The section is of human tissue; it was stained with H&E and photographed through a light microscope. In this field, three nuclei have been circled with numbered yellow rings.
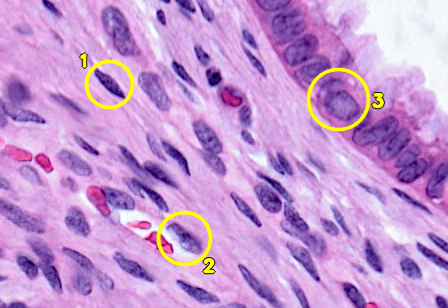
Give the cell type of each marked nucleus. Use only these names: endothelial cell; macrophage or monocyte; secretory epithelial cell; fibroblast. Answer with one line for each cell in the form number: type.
1: fibroblast
2: endothelial cell
3: secretory epithelial cell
